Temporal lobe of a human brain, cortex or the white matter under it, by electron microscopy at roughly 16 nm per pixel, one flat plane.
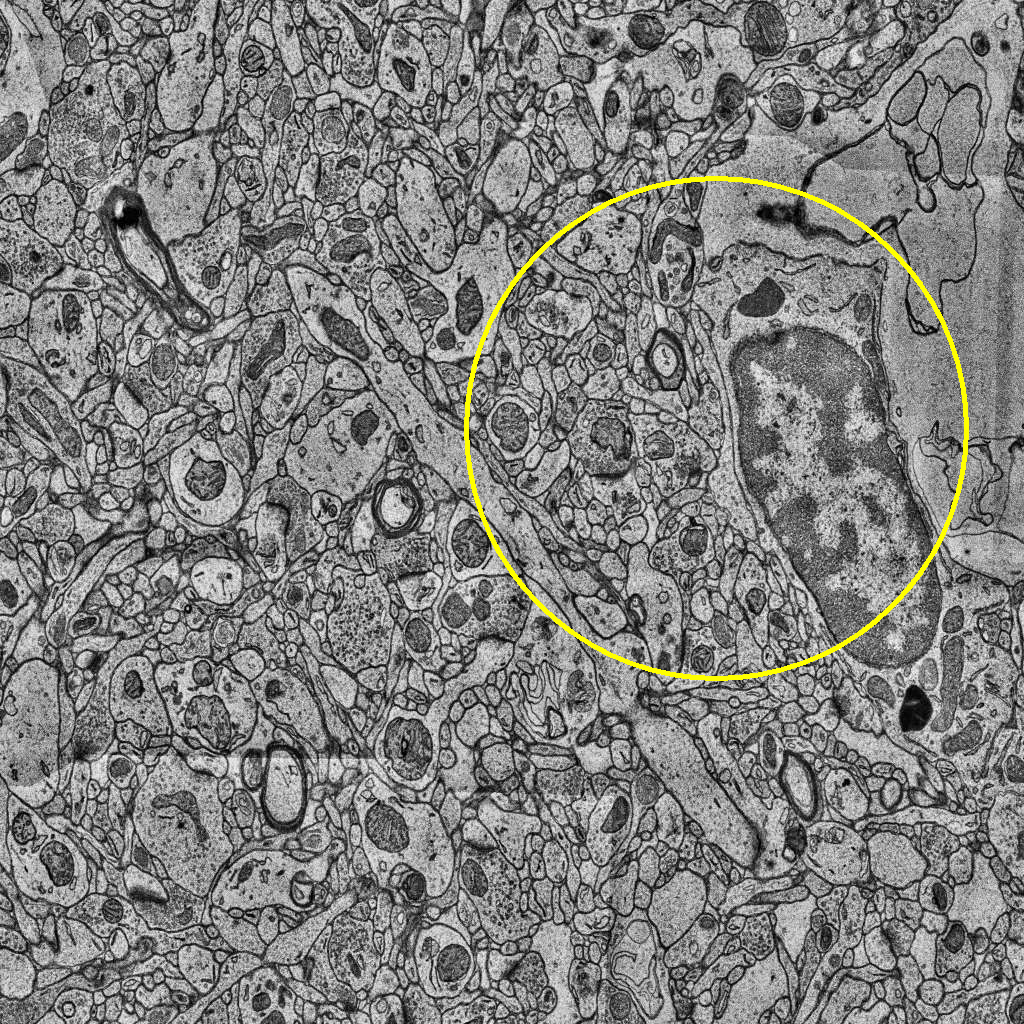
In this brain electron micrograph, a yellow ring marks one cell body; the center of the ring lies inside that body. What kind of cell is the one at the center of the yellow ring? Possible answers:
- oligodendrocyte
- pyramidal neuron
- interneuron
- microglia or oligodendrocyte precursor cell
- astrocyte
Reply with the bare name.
microglia or oligodendrocyte precursor cell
